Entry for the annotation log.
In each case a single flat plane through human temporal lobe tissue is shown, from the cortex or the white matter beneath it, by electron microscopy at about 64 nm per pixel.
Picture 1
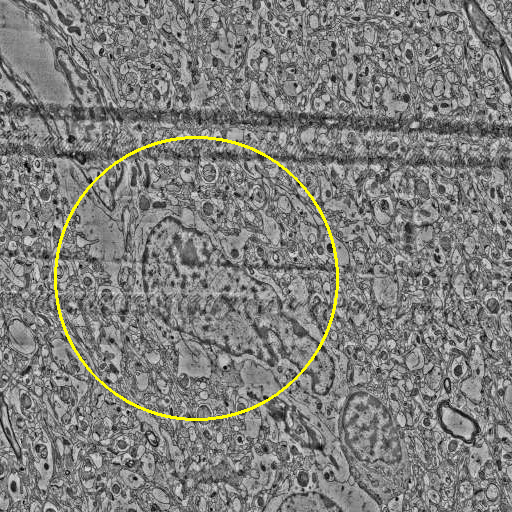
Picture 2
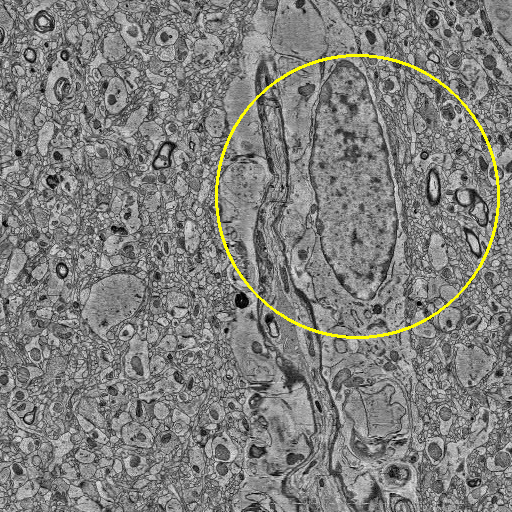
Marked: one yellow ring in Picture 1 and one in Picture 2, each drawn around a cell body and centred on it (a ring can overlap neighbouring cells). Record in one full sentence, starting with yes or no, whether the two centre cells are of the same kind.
Yes, both cells are of the same kind.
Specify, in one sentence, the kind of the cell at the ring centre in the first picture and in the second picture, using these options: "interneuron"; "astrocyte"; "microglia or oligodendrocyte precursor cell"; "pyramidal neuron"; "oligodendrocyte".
In both pictures the ring is centred on a microglial cell or oligodendrocyte precursor cell.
